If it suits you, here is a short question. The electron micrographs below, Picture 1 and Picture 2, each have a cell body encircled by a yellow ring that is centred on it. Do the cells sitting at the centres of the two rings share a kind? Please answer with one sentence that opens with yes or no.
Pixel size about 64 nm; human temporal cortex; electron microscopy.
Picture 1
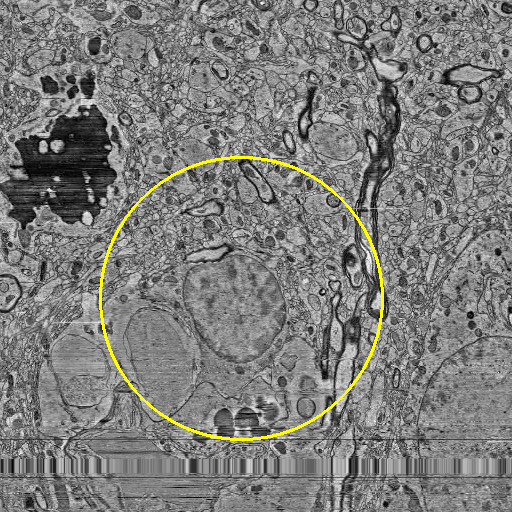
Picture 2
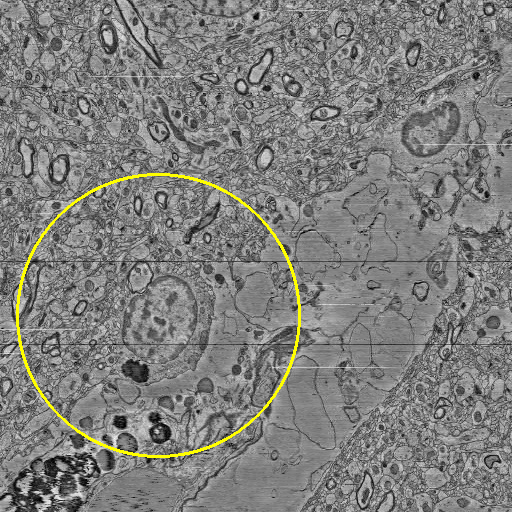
Yes, the two cells sitting at the ring centres share a single kind.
